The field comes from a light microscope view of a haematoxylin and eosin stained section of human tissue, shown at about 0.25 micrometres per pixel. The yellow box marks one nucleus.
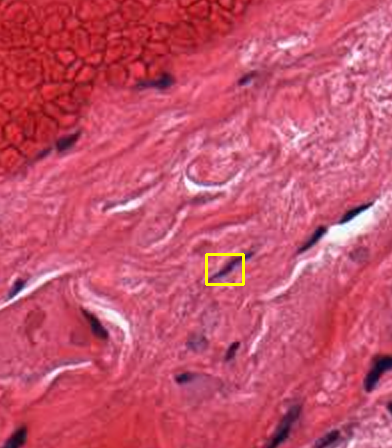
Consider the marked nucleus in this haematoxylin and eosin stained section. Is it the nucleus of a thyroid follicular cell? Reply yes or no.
no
